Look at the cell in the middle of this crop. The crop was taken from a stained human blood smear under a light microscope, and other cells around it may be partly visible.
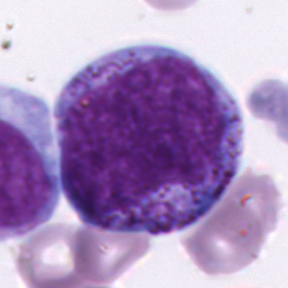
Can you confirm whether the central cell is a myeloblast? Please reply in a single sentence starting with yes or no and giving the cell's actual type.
No, the cell sitting in the centre of the crop is a promyelocyte, not a myeloblast.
